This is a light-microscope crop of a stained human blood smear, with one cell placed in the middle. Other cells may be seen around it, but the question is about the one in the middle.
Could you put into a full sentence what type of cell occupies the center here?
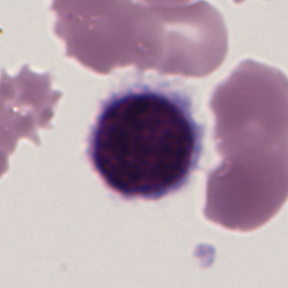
What the crop centres on is a hairy cell.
